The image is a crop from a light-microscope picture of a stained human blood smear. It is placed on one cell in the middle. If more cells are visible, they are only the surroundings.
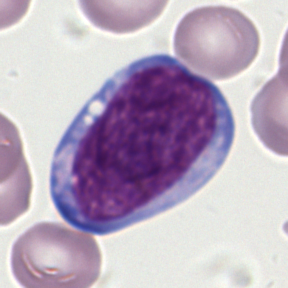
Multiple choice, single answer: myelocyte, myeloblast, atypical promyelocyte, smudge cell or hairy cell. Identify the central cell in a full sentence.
The centrally located cell in the crop is a myeloblast.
